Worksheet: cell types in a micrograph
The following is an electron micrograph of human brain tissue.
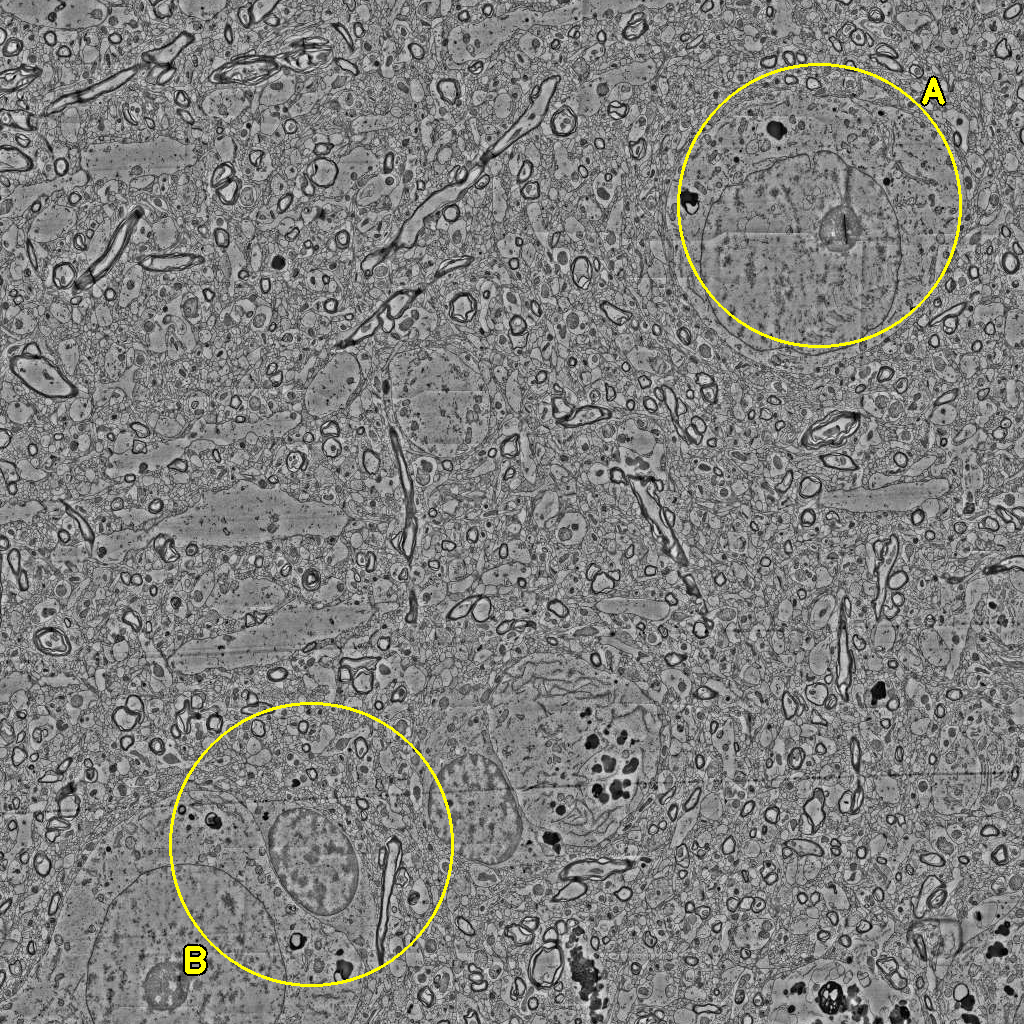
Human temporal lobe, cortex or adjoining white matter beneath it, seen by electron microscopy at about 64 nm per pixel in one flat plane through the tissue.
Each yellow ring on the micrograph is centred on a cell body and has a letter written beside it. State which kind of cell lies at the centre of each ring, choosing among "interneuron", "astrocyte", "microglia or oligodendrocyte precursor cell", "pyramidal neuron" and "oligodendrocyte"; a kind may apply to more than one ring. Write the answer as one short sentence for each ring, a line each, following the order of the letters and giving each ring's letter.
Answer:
Ring A has a pyramidal neuron in its centre.
Ring B has an oligodendrocyte in its centre.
